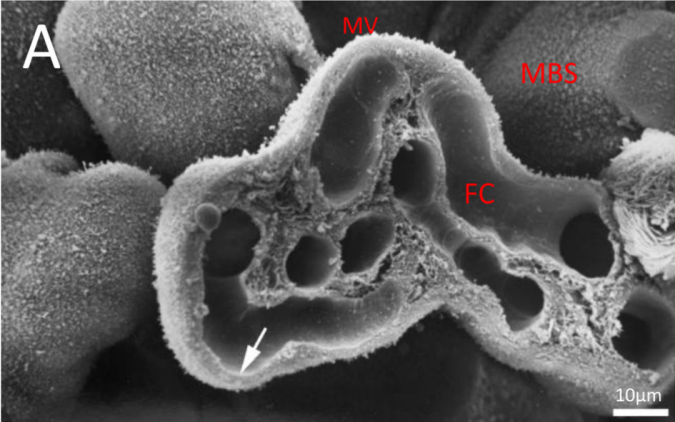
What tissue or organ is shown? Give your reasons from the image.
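A lobed, finger-like tissue projection has been broken open. Several round hollow channels lie within its core. Its outer surface is covered in a fine fuzzy layer of tiny projections.
Answer: placental villus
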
